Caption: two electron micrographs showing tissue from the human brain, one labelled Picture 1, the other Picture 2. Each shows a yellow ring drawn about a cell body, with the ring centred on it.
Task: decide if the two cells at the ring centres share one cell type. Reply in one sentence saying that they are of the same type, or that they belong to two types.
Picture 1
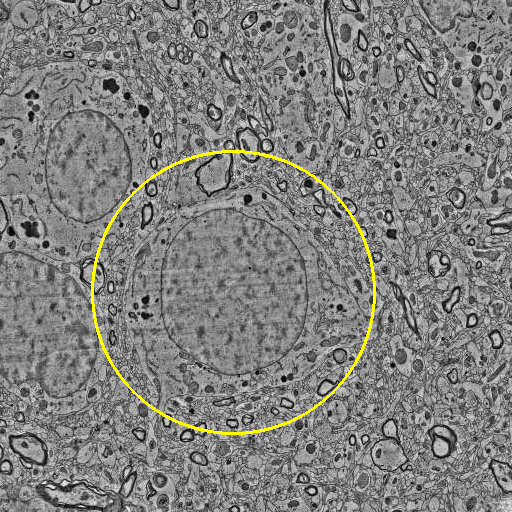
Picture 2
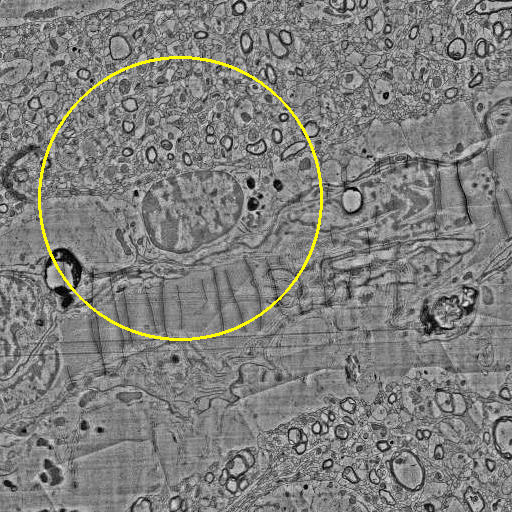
The cells at the ring centres in Picture 1 and Picture 2 belong to two types.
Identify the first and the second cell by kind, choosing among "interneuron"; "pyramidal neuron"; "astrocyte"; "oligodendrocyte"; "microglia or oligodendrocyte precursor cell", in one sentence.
The one in the first picture is a pyramidal neuron, while the one in the second is a microglial cell or oligodendrocyte precursor cell.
